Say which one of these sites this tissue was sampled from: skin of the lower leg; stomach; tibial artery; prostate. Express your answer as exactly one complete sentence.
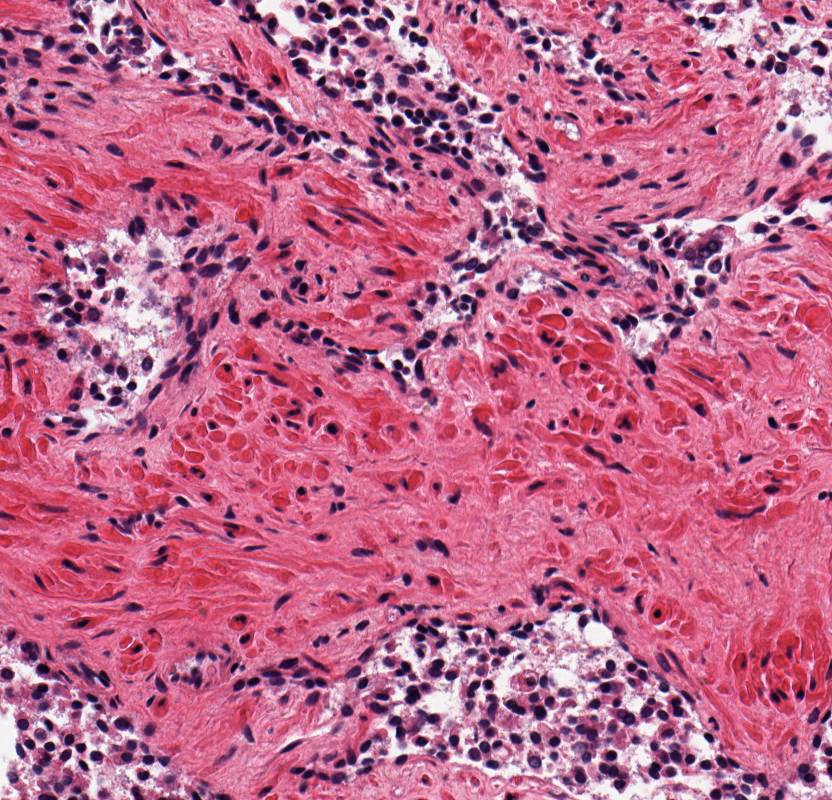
This section represents tissue sampled from the prostate.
